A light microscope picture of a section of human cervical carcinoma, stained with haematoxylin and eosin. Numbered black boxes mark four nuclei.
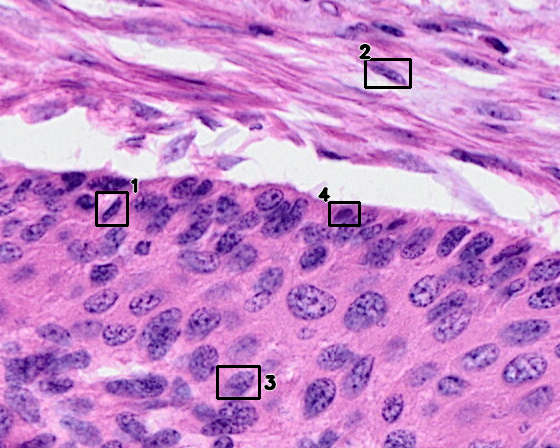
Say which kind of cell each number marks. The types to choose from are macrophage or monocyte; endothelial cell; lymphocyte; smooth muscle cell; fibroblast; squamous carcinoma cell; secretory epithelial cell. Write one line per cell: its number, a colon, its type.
1: squamous carcinoma cell
2: fibroblast
3: squamous carcinoma cell
4: squamous carcinoma cell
